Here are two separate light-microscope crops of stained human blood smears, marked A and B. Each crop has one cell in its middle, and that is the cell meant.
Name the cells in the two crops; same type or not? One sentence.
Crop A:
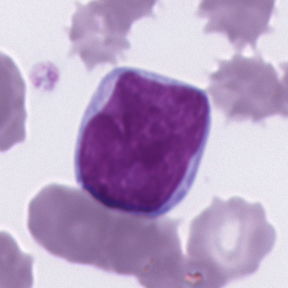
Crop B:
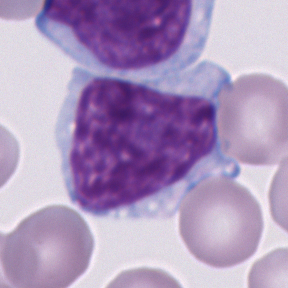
Yes, the central cells in both crops are myeloblasts.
